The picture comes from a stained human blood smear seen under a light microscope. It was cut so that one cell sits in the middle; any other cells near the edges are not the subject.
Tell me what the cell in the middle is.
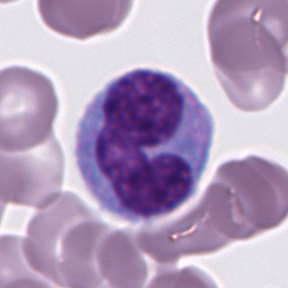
monocyte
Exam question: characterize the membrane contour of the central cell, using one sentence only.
No surface projections are present; the cell outline is smooth.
